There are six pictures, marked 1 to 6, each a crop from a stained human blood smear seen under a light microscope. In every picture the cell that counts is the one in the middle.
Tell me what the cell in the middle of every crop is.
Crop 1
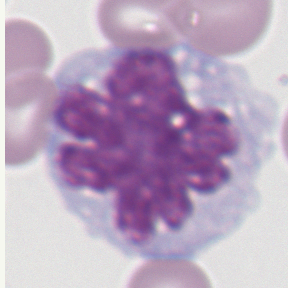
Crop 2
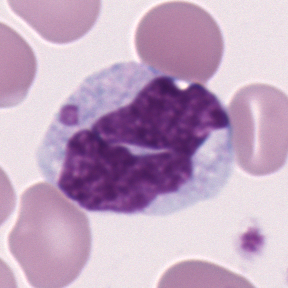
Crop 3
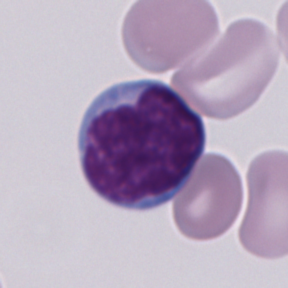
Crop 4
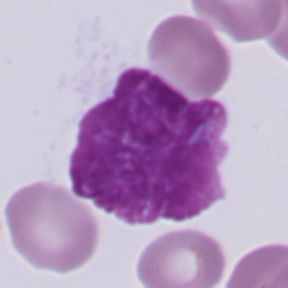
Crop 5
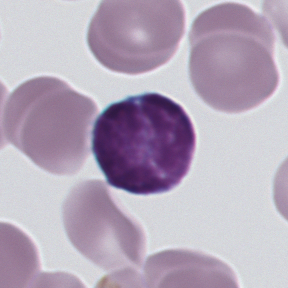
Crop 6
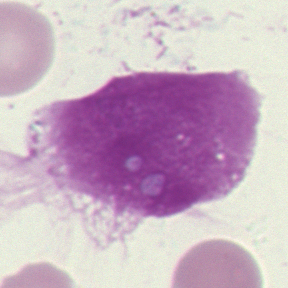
1: monocyte
2: monocyte
3: typical lymphocyte
4: smudge cell
5: typical lymphocyte
6: smudge cell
